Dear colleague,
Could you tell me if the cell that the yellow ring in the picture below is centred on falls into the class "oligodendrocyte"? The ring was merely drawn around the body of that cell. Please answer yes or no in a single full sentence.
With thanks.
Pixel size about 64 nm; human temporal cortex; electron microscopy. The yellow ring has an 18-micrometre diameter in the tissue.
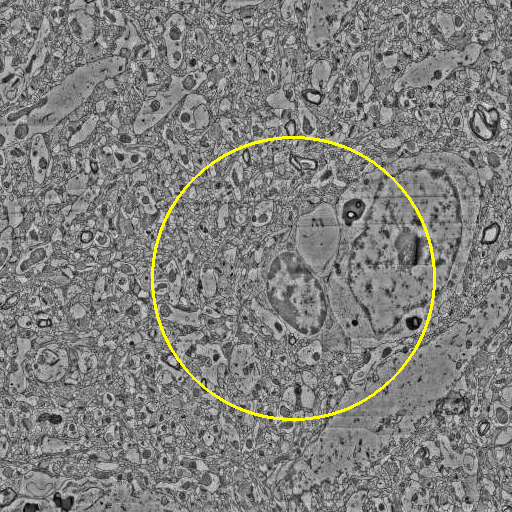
No, the cell on which the ring in your picture is centred falls into a different class.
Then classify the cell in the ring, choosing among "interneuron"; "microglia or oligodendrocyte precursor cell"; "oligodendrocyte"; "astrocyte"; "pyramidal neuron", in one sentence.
It is a microglial cell or oligodendrocyte precursor cell at the centre of the ring.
